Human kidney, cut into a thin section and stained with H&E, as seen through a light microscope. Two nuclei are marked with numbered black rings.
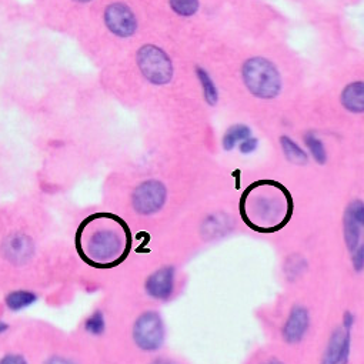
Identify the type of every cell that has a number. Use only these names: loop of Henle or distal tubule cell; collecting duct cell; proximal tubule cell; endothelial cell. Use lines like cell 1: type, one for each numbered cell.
cell 1: loop of Henle or distal tubule cell
cell 2: proximal tubule cell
